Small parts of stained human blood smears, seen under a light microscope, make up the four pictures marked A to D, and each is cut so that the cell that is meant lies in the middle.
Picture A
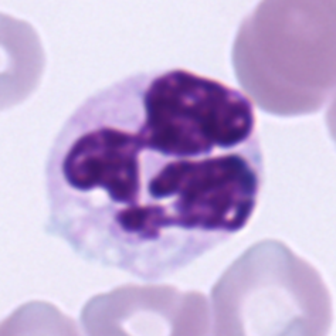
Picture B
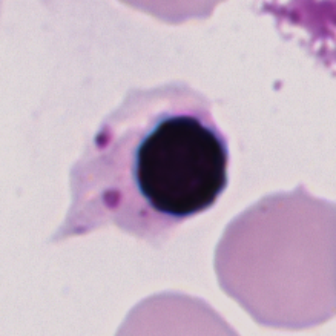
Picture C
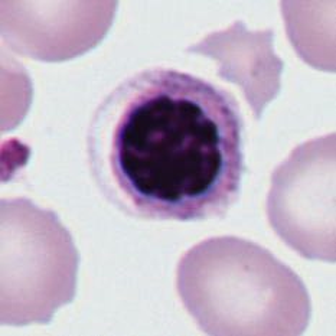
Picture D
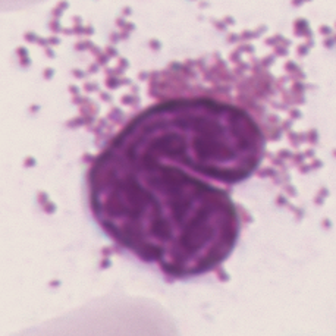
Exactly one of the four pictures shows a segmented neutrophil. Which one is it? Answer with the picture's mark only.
A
